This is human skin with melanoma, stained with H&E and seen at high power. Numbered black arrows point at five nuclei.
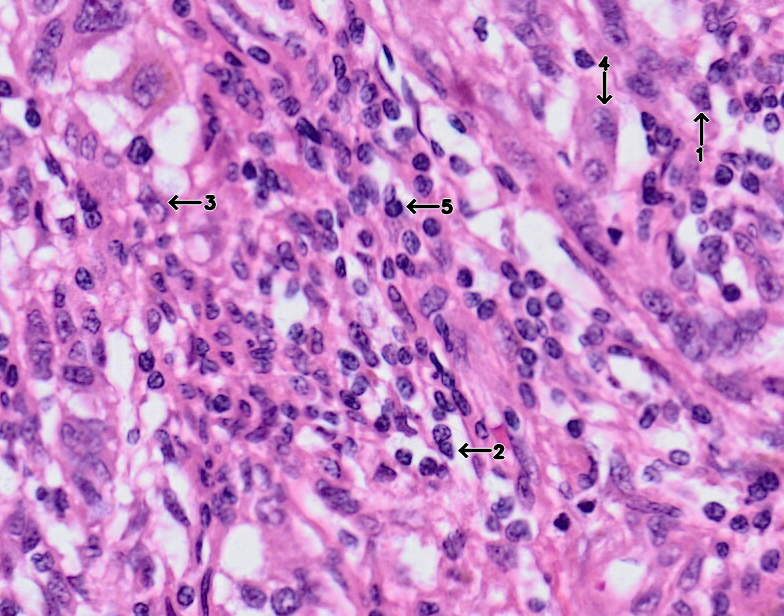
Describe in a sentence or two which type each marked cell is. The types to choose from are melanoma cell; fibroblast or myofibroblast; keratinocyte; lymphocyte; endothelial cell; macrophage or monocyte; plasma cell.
Cell 1 is a melanoma cell, cell 2 is a lymphocyte, cell 3 is a melanoma cell, cell 4 is a melanoma cell and cell 5 is a lymphocyte.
